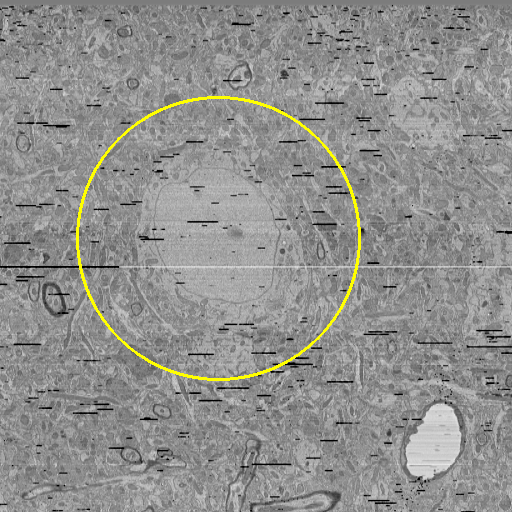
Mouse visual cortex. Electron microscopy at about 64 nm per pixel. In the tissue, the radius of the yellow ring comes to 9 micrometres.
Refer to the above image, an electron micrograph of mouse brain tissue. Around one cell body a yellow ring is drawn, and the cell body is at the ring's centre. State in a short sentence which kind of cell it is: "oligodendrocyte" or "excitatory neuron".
The centre of the ring falls on an excitatory neuron.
